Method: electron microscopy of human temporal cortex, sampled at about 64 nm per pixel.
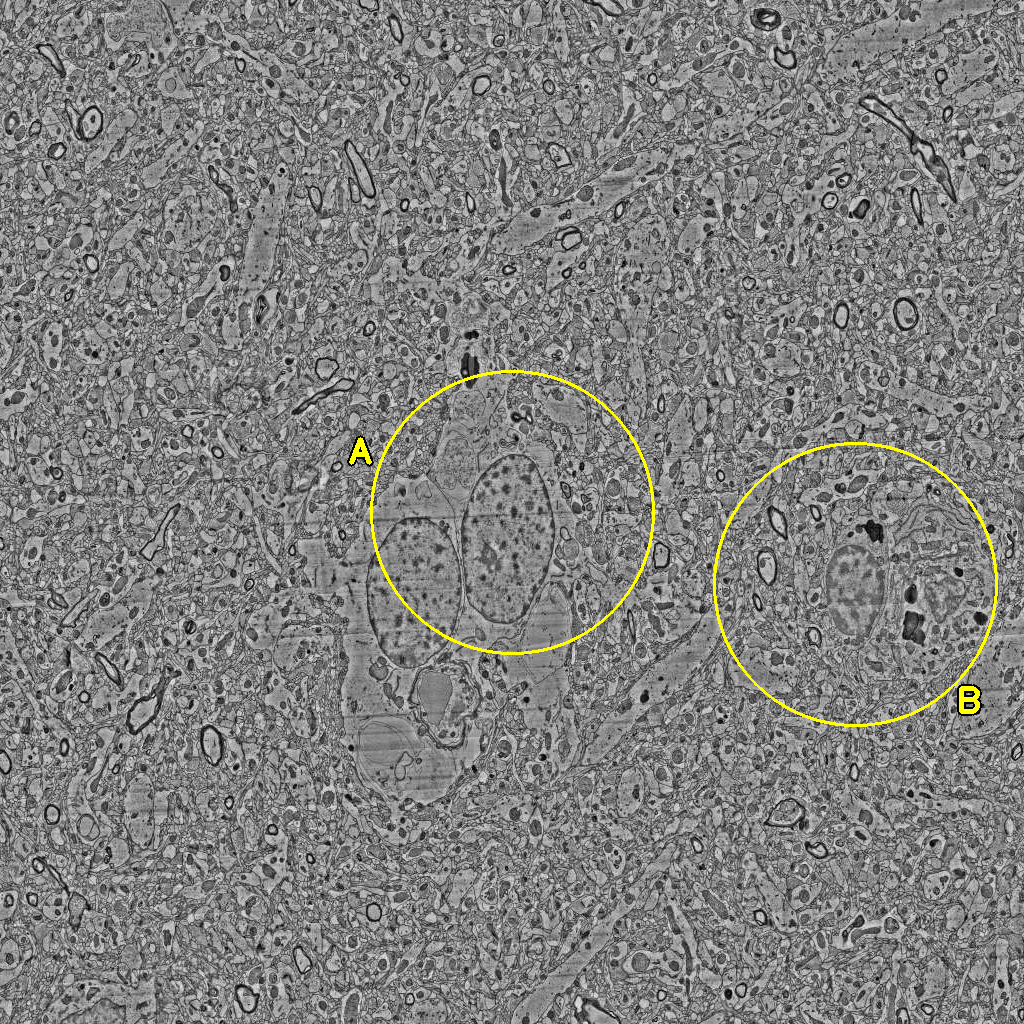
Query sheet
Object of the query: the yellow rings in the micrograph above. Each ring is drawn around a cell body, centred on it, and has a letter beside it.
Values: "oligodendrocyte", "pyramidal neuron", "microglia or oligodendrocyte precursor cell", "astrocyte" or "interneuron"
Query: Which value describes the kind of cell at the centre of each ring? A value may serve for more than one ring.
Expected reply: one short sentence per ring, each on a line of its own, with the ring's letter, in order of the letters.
I assign an astrocyte to ring A.
I assign an oligodendrocyte to ring B.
